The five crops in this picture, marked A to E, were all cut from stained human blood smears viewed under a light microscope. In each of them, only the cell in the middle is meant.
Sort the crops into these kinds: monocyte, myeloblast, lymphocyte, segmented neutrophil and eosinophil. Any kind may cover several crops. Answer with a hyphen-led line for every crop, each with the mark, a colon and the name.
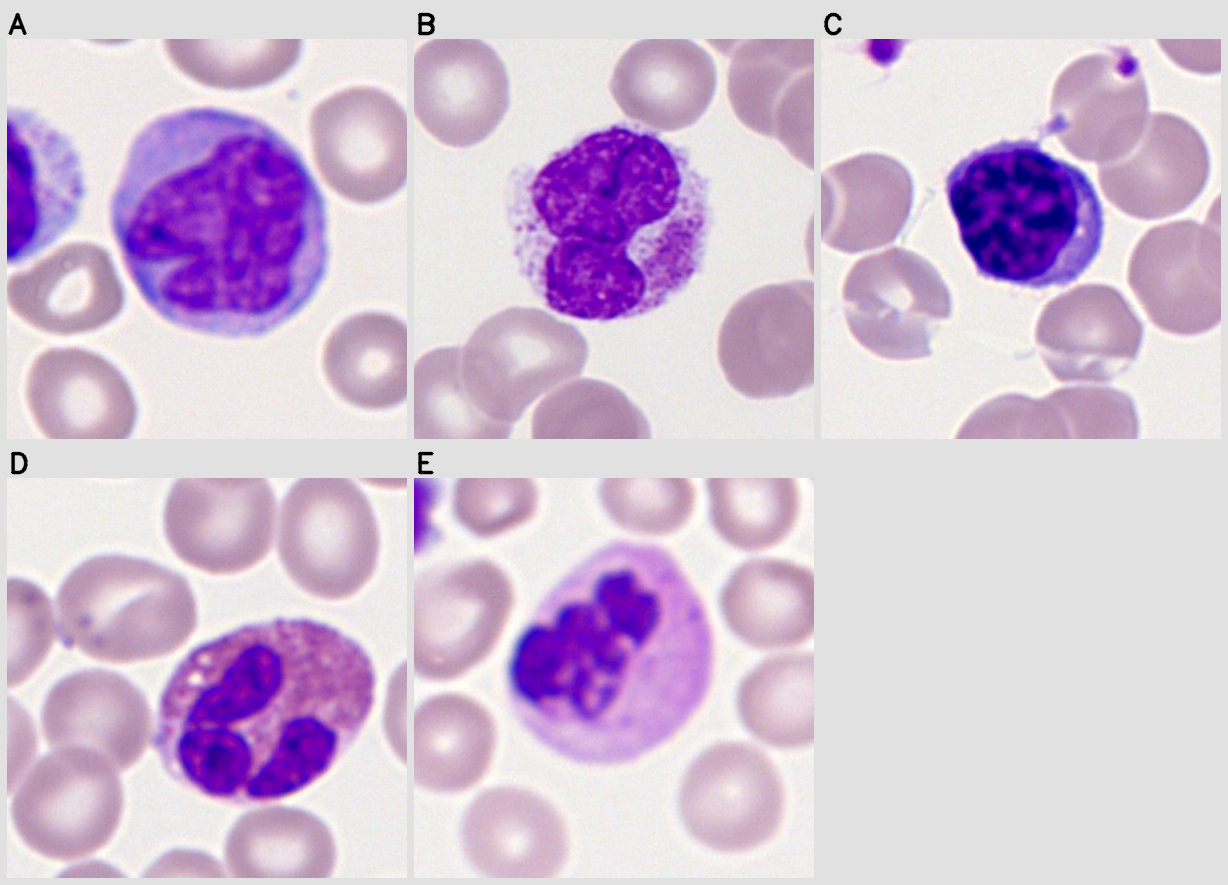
- A: monocyte
- B: eosinophil
- C: lymphocyte
- D: eosinophil
- E: segmented neutrophil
